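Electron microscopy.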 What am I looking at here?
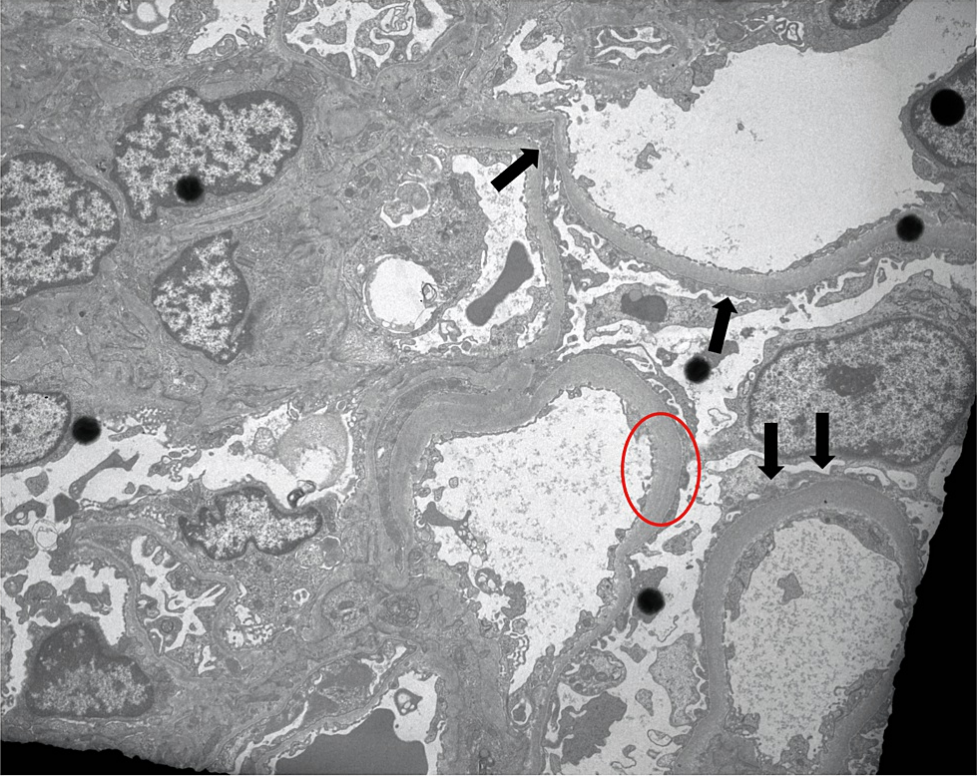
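This transmission electron micrograph shows part of a kidney glomerulus, with several open capillary loops and a cellular mesangial region at the left. On the outer side of the loops, the covering epithelial cells spread as continuous flat bands of cytoplasm over the membrane instead of forming separate small feet. A few red blood cells lie within the capillary lumina. At the left, cells with large nuclei containing clumped chromatin sit in a matrix of grey material between the loops.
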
